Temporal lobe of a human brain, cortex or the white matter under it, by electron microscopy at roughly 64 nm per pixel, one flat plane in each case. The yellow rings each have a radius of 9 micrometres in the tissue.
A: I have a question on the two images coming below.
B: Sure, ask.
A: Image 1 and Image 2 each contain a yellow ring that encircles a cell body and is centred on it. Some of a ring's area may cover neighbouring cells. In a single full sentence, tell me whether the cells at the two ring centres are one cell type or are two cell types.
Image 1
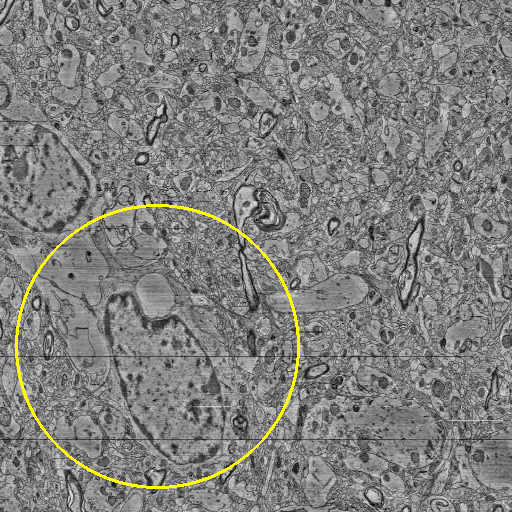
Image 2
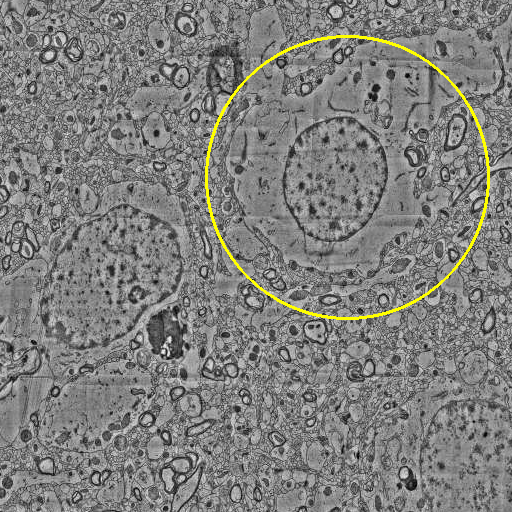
As for the ring-centre cells, the one in Image 1 and the one in Image 2 are two cell types.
